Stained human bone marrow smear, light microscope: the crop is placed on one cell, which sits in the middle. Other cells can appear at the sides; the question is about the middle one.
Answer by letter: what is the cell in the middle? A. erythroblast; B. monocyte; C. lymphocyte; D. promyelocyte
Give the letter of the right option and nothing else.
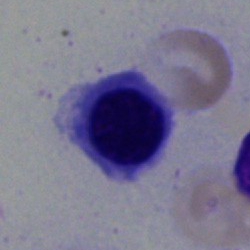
A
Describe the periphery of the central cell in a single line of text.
The contour of the cell is interrupted by ragged areas or by projections.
